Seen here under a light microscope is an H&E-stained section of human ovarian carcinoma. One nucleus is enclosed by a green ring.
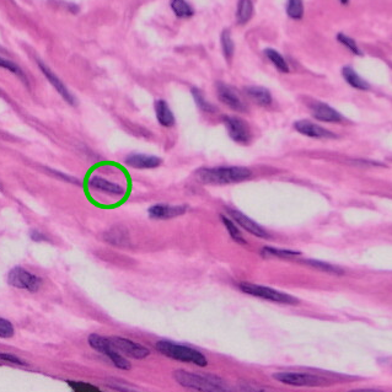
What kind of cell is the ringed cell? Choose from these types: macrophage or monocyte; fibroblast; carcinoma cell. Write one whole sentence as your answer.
So far as cell type goes, the ringed cell is a fibroblast.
